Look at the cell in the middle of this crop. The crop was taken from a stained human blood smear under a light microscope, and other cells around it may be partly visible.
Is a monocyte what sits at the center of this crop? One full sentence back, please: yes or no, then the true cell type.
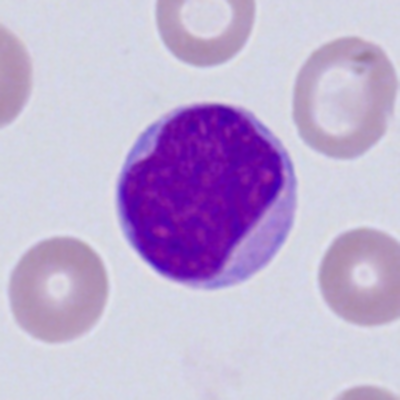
No, that is not a monocyte; the middle cell is a myeloblast.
